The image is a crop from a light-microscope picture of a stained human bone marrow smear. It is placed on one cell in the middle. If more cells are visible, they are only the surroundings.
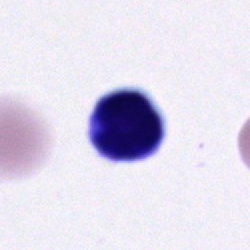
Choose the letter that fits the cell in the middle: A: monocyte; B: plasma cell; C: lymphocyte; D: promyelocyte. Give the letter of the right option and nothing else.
C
